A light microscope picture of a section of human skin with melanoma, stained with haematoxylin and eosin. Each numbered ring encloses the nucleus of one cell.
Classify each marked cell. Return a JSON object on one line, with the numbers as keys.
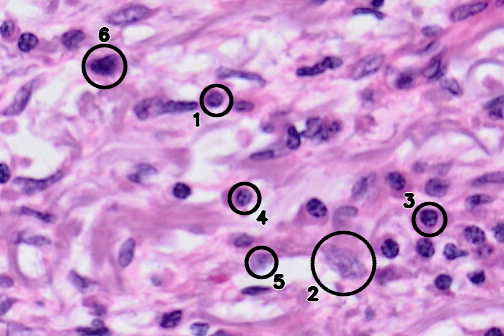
{"1": "plasma cell", "2": "fibroblast or myofibroblast", "3": "plasma cell", "4": "plasma cell", "5": "endothelial cell", "6": "plasma cell"}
